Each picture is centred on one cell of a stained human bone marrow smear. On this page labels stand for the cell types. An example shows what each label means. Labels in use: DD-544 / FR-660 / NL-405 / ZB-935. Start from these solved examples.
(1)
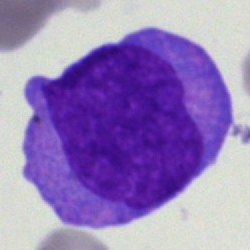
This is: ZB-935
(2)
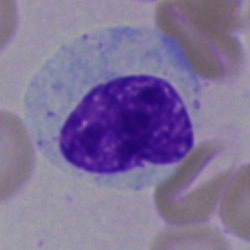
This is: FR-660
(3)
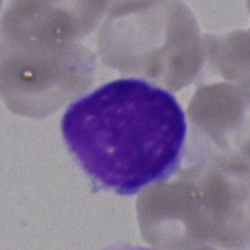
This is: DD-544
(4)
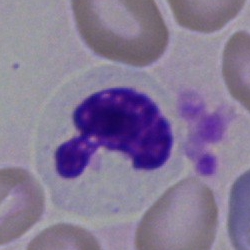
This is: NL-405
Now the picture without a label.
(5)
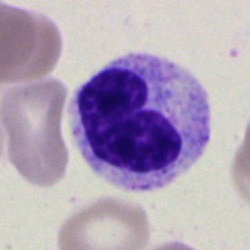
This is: FR-660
